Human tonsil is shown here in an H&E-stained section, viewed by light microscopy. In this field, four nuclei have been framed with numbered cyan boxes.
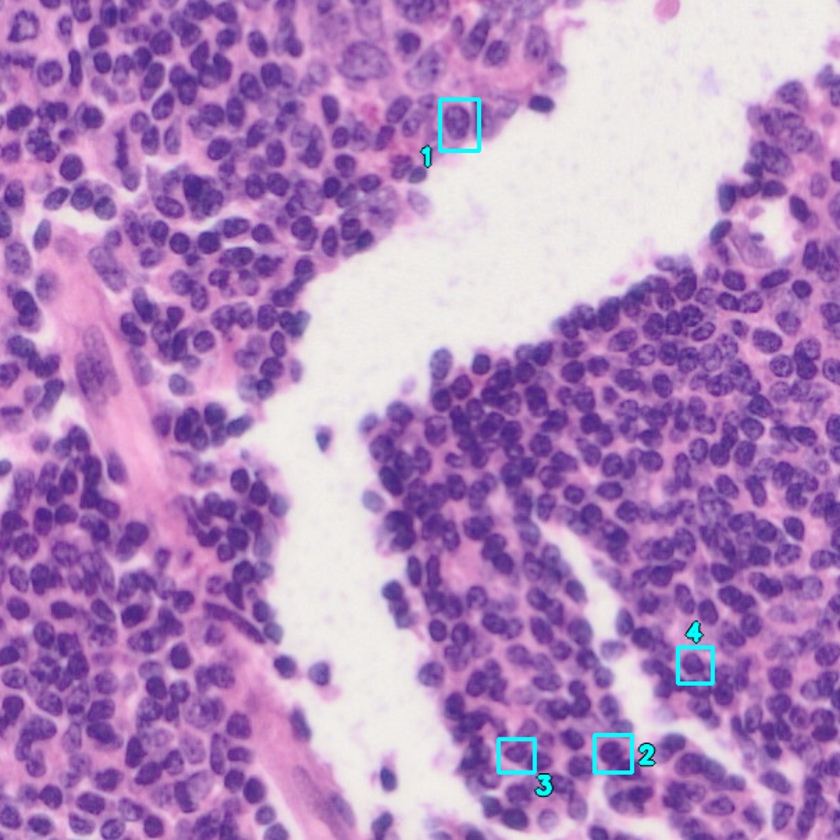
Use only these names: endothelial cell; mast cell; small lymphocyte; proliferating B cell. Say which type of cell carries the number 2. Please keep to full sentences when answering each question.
The cell to which the number 2 is assigned is a small lymphocyte.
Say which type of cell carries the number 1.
The numeral 1 marks a proliferating B cell in this section.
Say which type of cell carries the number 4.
The nucleus with number 4 is that of a small lymphocyte.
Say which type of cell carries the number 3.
The cell referred to as 3 is a small lymphocyte.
